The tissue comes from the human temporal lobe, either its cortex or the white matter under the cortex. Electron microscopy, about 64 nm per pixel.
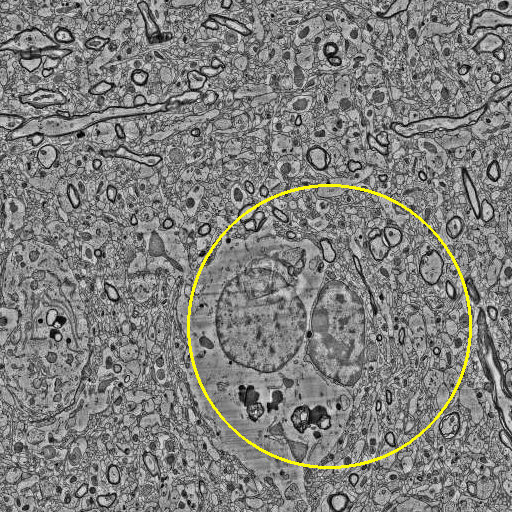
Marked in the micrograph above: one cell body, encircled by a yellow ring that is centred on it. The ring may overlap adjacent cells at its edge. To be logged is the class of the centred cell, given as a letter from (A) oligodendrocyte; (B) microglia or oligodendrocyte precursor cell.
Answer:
B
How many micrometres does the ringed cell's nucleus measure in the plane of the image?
Roughly 7 by 4 micrometers, clearly longer than it is wide in this plane.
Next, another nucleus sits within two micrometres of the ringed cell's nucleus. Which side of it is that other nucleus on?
The other nucleus lies to the upper left of it in the picture.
